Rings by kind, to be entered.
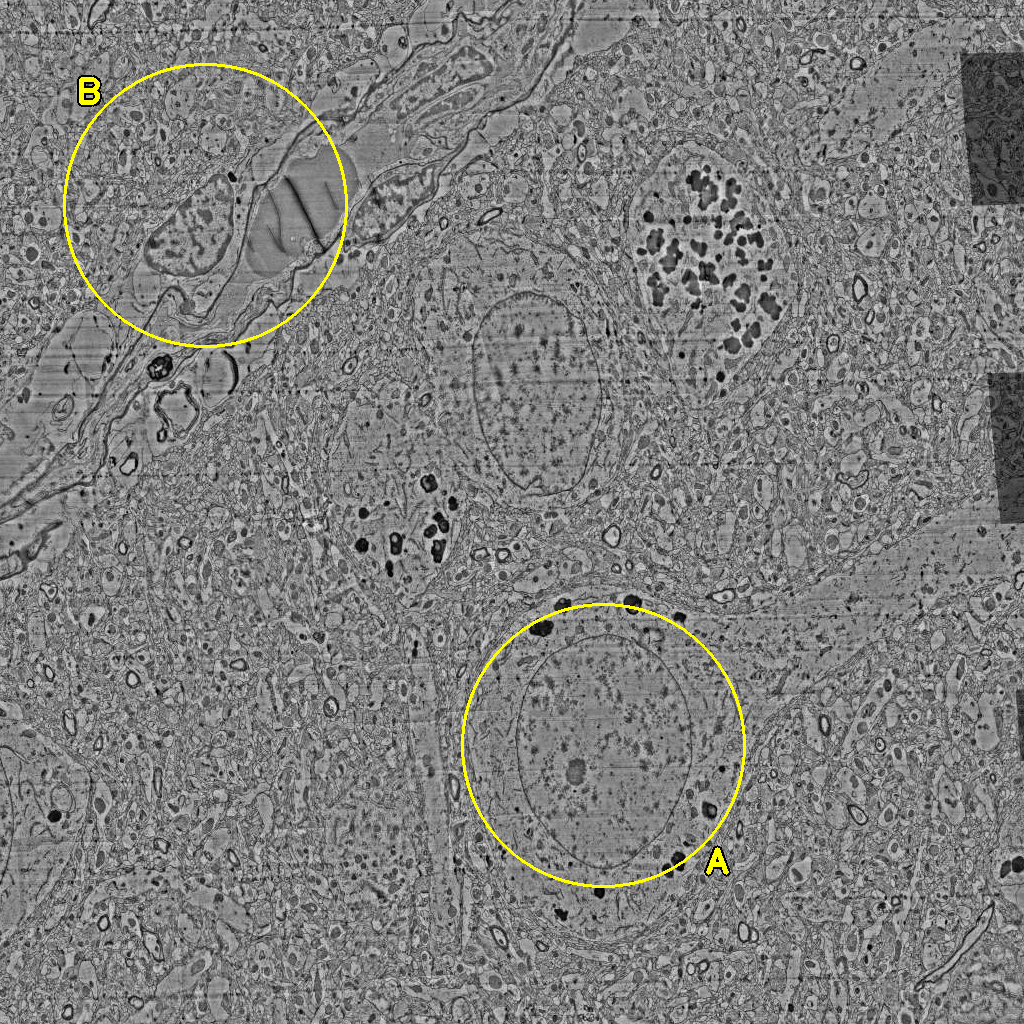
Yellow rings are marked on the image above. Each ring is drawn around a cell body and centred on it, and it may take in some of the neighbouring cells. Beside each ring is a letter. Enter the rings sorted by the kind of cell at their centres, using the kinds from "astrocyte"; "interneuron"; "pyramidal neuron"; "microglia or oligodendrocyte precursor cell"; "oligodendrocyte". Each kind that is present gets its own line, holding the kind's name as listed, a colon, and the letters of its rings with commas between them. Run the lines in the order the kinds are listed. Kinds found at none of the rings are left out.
pyramidal neuron: A
microglia or oligodendrocyte precursor cell: B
